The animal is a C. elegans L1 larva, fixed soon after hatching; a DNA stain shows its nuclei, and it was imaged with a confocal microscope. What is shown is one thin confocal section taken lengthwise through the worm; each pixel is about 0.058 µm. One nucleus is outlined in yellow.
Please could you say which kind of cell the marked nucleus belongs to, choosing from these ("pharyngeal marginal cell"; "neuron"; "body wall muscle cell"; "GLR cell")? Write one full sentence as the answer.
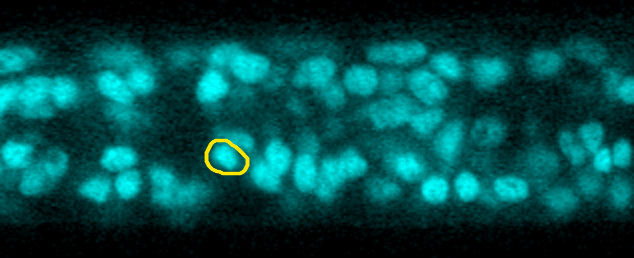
The cell with the marked nucleus is a GLR cell.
